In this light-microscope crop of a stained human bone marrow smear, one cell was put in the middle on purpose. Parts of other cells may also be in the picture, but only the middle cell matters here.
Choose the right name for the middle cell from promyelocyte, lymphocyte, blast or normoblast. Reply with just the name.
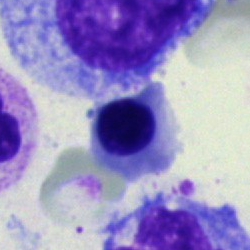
normoblast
